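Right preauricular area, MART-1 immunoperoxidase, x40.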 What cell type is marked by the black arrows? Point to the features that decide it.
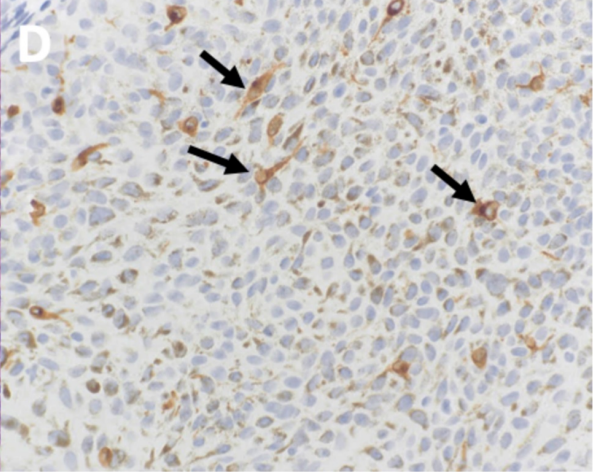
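The arrowed cells are stained brown. The brown cells send out thin branching processes. They lie scattered among unstained cells with blue nuclei.
Answer: dendritic melanocytes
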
